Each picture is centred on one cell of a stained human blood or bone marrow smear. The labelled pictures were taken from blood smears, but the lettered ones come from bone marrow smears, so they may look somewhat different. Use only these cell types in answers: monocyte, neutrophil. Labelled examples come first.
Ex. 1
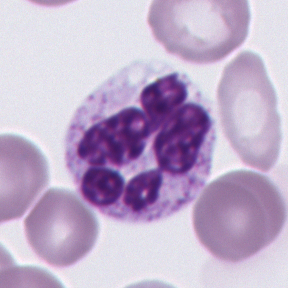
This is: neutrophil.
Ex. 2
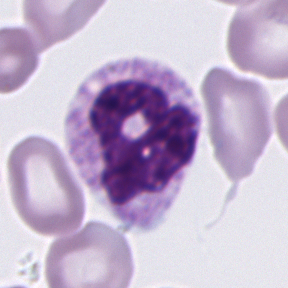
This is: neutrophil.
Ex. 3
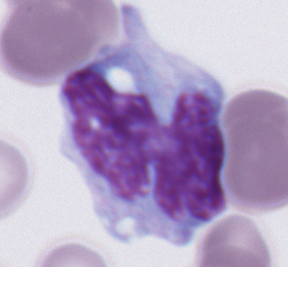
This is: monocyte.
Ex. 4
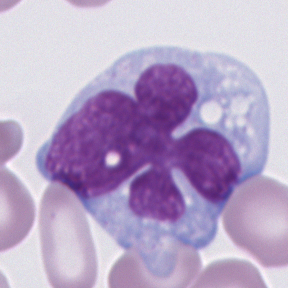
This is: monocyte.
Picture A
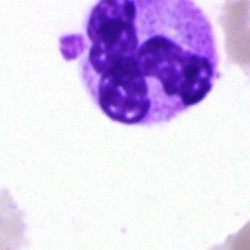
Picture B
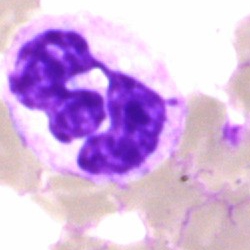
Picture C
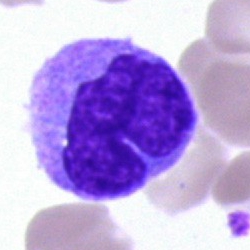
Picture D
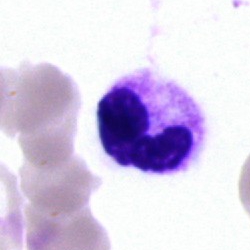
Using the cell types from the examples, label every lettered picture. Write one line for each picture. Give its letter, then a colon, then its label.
A: neutrophil.
B: neutrophil.
C: monocyte.
D: neutrophil.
